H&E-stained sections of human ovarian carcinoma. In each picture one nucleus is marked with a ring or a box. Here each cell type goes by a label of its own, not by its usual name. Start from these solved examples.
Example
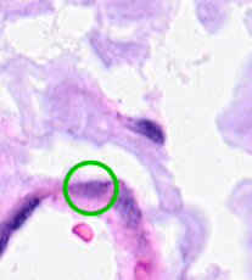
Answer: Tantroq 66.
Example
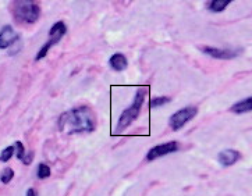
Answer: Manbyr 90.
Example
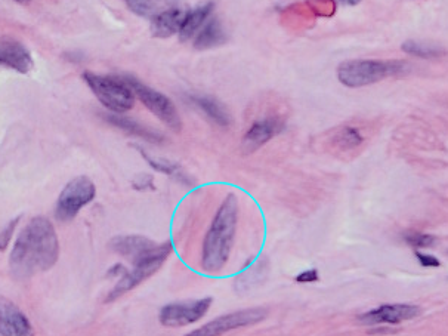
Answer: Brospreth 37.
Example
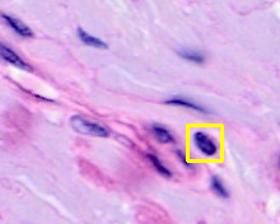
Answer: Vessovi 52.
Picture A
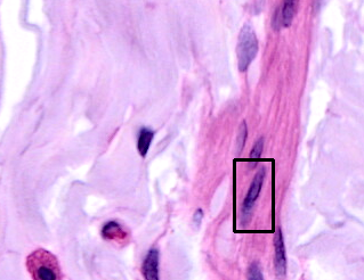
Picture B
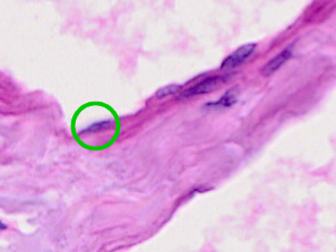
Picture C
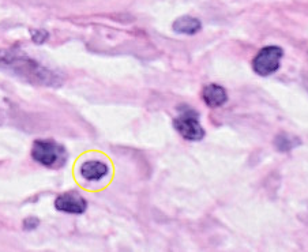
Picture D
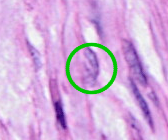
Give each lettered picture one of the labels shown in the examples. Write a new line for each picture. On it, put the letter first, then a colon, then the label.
A: Brospreth 37.
B: Tantroq 66.
C: Vessovi 52.
D: Manbyr 90.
